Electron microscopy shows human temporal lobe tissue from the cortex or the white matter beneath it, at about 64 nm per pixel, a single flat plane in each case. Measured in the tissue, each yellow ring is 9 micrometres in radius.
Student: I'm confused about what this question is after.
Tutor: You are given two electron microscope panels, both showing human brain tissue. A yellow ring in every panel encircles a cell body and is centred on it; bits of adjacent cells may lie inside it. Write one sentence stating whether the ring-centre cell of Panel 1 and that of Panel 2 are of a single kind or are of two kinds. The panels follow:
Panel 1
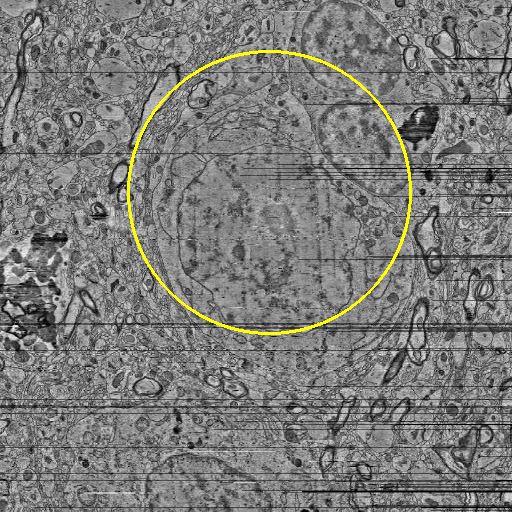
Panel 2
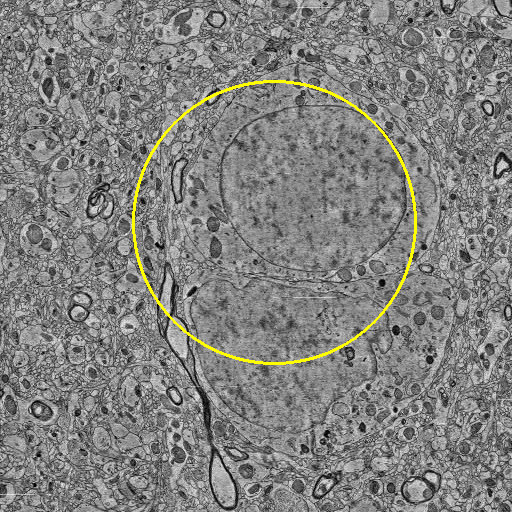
Here, the Panel 1 ring-centre cell and the Panel 2 ring-centre cell are of a single kind.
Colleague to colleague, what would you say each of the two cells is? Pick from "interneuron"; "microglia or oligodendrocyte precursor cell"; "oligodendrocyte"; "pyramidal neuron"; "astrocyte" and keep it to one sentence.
Each of the two rings surrounds a pyramidal neuron.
